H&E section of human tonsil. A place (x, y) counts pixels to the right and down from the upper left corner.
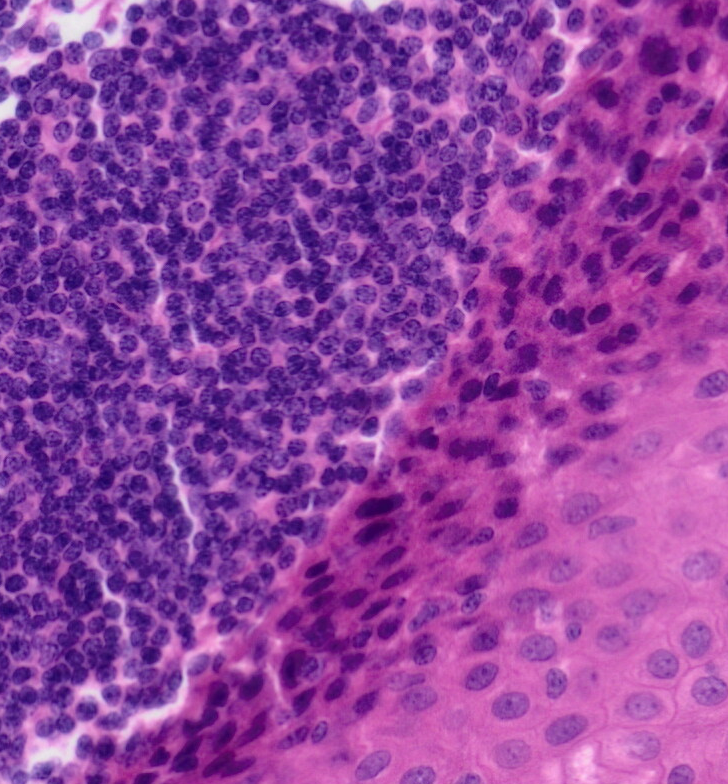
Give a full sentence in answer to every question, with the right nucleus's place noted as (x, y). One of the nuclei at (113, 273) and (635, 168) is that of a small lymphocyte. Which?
Of the two nuclei, the one at (113, 273) belongs to a small lymphocyte.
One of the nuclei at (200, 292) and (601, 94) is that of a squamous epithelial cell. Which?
The nucleus at position (601, 94) belongs to a squamous epithelial cell.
